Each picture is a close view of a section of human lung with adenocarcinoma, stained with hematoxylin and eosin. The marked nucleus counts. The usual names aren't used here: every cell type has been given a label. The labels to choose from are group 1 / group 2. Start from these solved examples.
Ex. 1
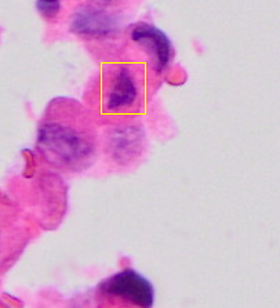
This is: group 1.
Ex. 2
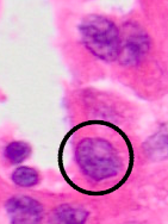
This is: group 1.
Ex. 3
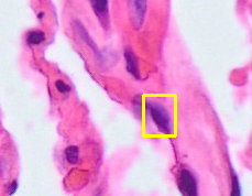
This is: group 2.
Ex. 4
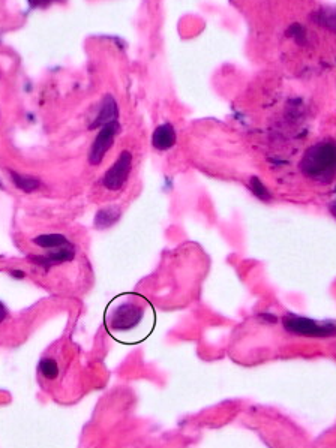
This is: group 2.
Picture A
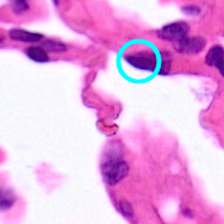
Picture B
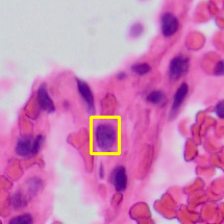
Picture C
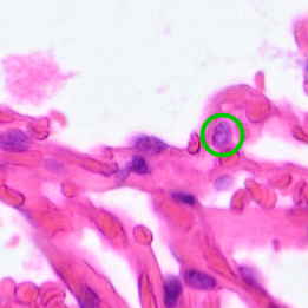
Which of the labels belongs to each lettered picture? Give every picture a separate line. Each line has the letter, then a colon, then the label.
A: group 2.
B: group 2.
C: group 2.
